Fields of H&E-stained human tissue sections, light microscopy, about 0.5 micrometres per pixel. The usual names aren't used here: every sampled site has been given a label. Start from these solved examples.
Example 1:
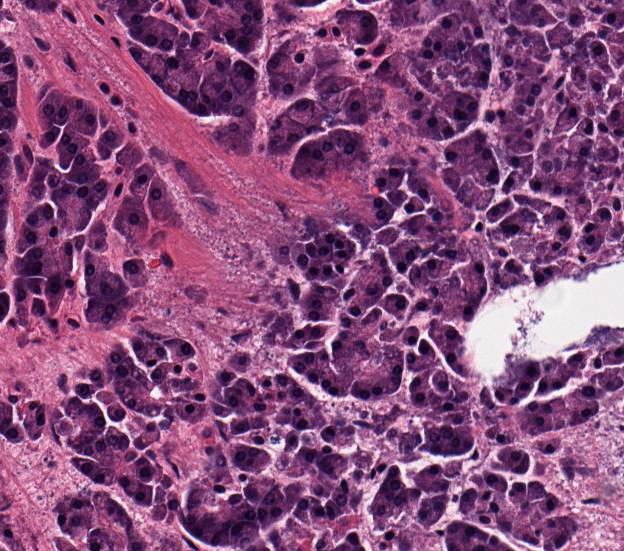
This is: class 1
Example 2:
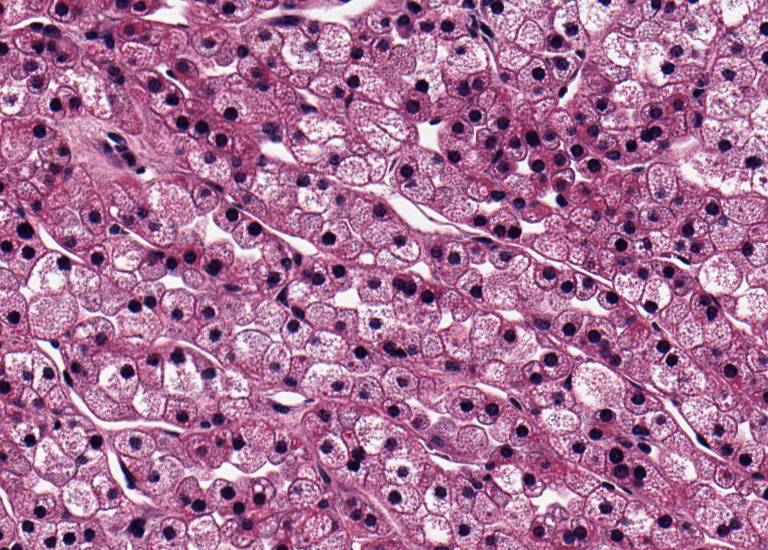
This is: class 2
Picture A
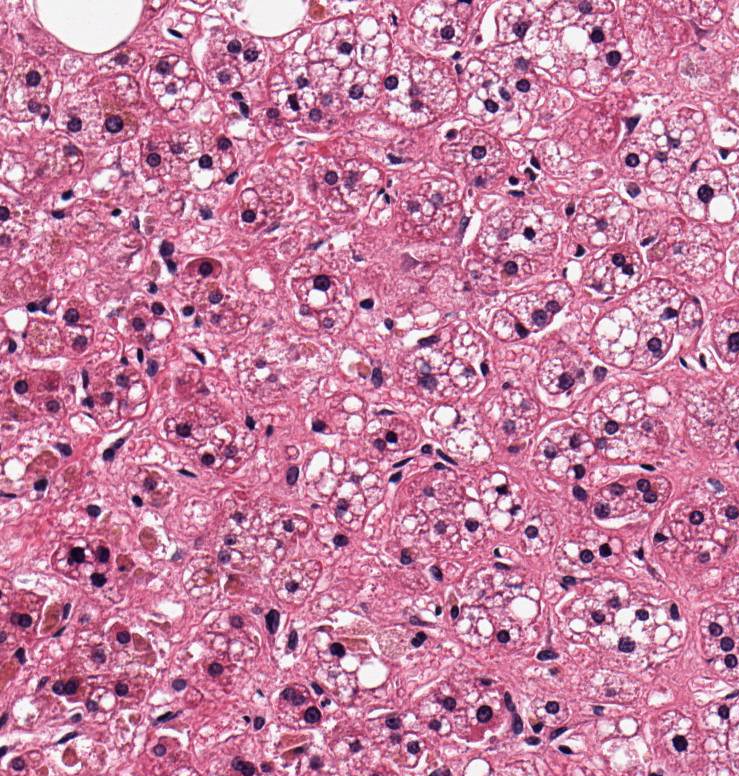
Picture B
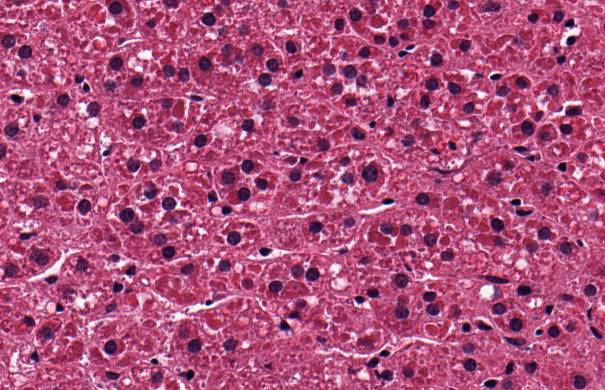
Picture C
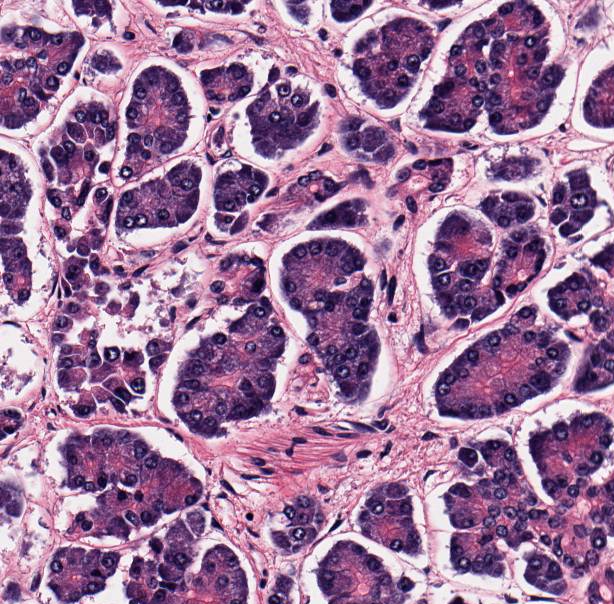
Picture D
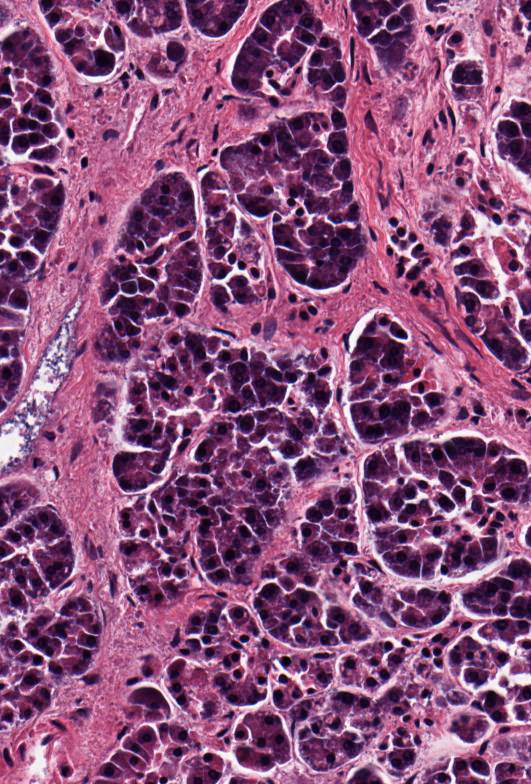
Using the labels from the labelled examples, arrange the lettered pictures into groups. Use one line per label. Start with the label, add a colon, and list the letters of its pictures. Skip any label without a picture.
class 1: C, D
class 2: A, B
